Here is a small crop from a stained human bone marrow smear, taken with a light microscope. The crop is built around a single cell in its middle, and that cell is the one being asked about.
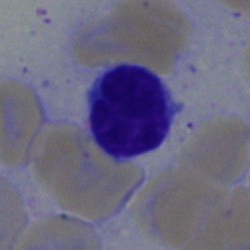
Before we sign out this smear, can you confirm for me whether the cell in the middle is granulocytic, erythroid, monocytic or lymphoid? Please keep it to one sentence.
Lineage result for the cell in the middle of the crop: lymphoid.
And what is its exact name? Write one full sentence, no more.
The middle of this crop holds a lymphocyte.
